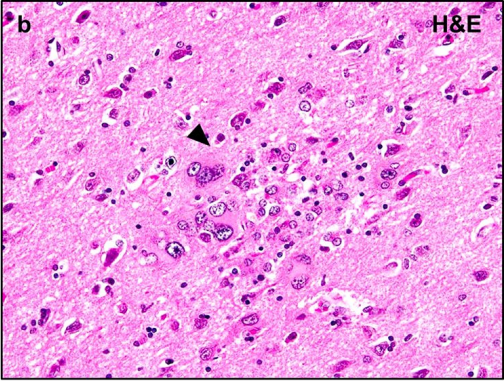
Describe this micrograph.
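Within pale pink cortical neuropil lies a loose cluster of cells with abundant pink cytoplasm and large, irregular nuclei, some cells carrying more than one nucleus. Small dark round nuclei are scattered around and among them.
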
